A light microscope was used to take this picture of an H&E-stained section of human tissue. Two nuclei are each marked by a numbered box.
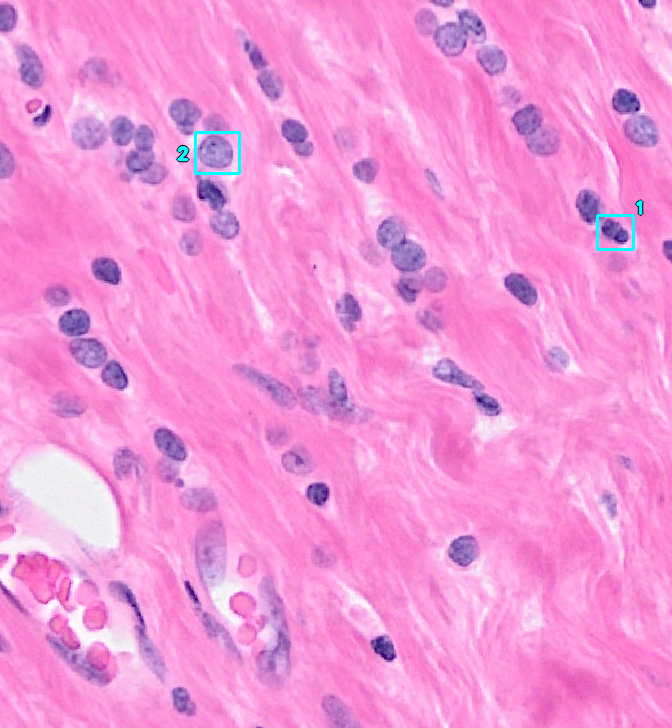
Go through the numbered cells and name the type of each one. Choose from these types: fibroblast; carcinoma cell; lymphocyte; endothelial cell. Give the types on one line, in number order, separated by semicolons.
lymphocyte; carcinoma cell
